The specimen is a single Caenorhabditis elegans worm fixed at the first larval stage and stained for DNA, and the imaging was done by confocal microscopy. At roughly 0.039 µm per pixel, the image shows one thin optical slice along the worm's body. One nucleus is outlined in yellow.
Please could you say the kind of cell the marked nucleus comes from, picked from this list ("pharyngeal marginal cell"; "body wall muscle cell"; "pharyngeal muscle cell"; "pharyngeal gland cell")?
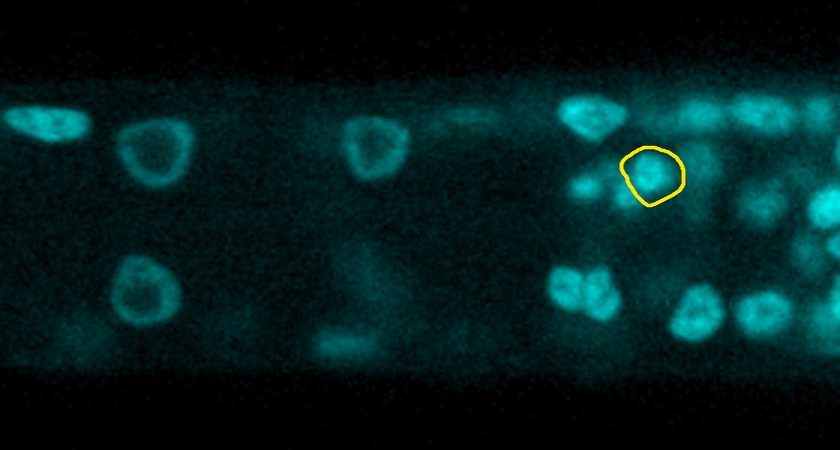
pharyngeal gland cell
